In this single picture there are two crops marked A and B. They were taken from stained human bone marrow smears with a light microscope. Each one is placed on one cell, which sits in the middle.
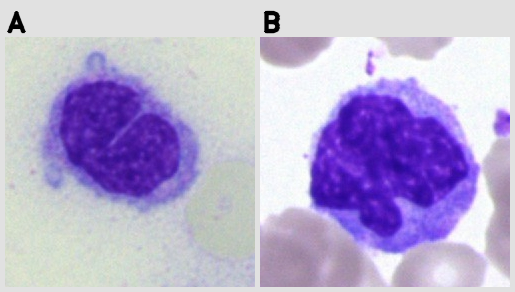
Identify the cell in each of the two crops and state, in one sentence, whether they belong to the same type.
Yes, the cells at the centres of the two crops are monocytes.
